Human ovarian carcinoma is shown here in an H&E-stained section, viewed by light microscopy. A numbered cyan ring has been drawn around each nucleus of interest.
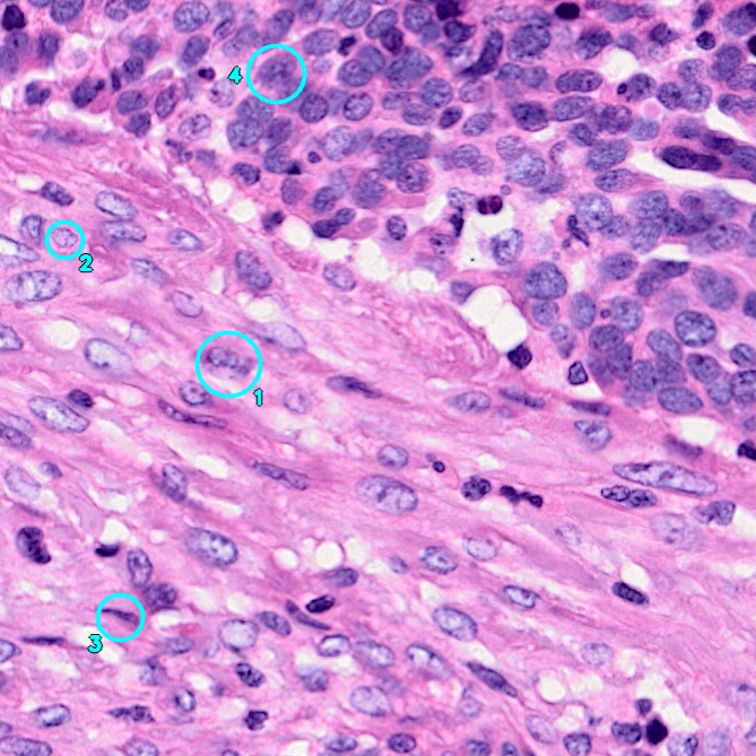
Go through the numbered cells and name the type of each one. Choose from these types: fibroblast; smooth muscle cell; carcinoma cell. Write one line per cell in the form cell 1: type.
cell 1: fibroblast
cell 2: fibroblast
cell 3: fibroblast
cell 4: carcinoma cell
